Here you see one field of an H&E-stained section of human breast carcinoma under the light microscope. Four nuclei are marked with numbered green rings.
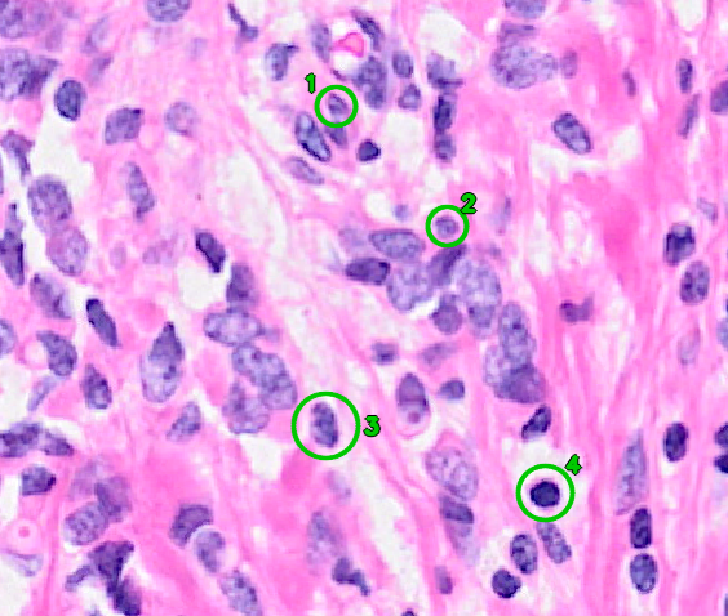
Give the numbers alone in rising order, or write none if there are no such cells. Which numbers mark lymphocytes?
2, 3, 4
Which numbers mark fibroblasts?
none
